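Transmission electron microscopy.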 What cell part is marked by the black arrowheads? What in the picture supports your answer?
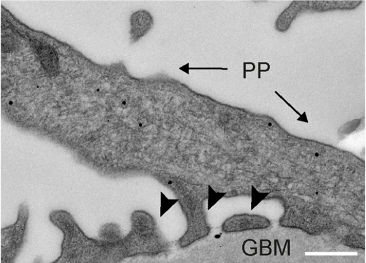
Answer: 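Foot processes. The projections rest on a dense grey layer at the bottom of the image.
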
